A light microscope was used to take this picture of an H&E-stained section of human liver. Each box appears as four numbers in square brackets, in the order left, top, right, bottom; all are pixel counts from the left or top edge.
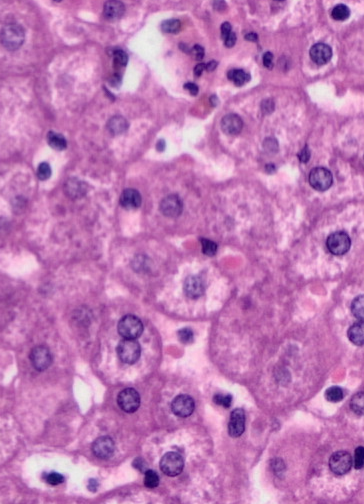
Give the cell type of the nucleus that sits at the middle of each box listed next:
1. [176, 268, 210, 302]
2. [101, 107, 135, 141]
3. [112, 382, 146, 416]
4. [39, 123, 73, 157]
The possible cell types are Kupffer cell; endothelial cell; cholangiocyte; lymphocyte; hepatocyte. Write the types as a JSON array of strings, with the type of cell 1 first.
["hepatocyte", "hepatocyte", "hepatocyte", "endothelial cell"]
